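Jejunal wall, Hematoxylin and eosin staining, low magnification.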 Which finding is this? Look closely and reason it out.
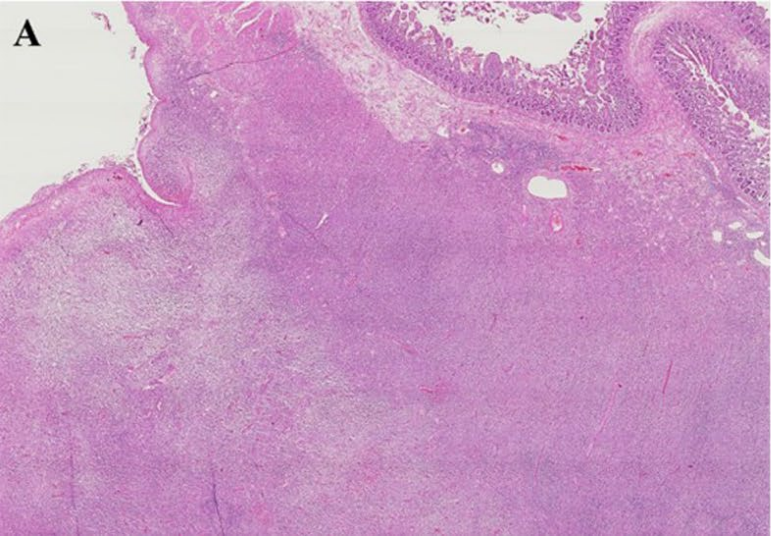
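A dense, solid sheet of cells fills most of the wall below the mucosa. The sheet replaces the normal layered wall structure over a wide area. So: infiltrative tumor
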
